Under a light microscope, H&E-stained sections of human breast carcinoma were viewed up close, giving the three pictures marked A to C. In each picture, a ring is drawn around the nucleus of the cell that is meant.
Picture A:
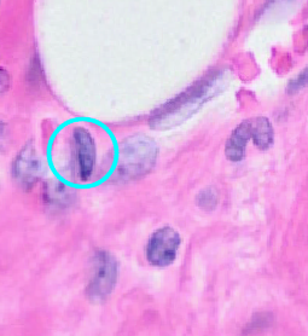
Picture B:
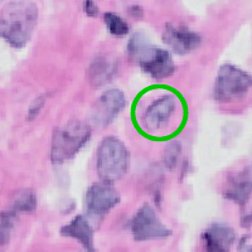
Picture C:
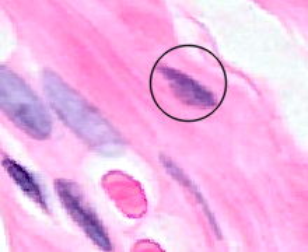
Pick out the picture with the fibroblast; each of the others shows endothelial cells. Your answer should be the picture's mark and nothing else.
C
